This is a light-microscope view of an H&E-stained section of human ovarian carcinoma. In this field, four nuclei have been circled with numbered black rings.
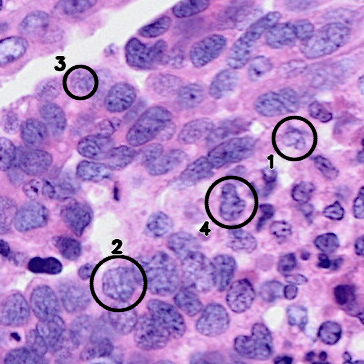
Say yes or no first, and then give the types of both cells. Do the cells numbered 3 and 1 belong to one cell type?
No, cell 3 is a carcinoma cell and cell 1 is a macrophage or monocyte.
